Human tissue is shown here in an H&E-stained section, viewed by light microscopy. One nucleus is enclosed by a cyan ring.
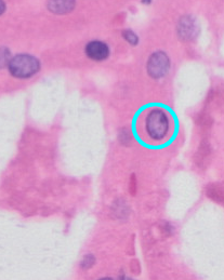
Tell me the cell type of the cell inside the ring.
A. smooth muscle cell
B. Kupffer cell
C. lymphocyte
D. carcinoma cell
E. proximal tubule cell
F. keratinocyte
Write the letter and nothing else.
E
